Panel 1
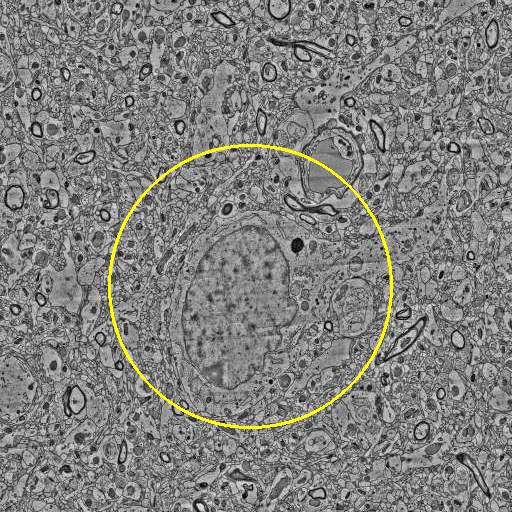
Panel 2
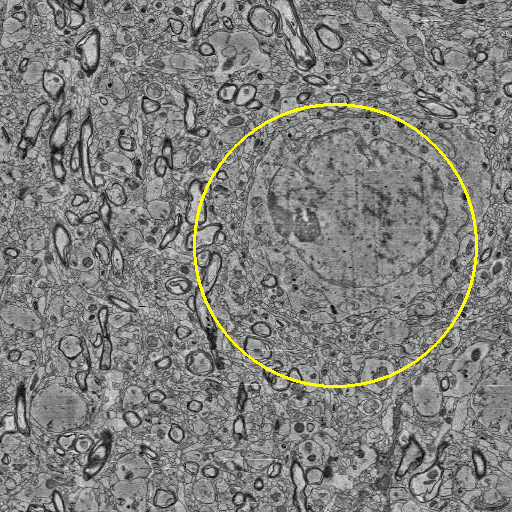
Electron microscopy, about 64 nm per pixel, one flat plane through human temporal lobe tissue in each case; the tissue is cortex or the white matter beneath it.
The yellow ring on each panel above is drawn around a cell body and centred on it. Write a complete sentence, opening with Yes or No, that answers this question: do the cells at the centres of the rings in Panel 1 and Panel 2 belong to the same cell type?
Yes, both cells belong to the same cell type.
